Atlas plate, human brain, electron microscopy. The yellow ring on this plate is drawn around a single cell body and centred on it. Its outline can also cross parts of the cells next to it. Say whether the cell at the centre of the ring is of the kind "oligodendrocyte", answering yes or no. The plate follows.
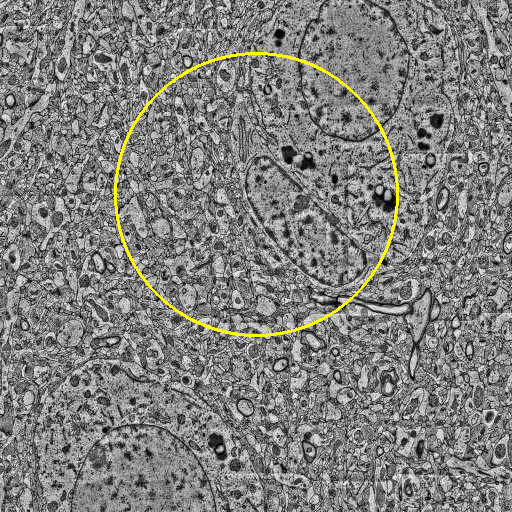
No, the cell is of another kind.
